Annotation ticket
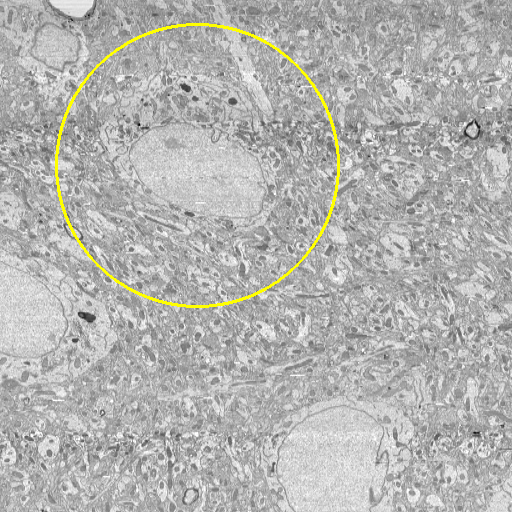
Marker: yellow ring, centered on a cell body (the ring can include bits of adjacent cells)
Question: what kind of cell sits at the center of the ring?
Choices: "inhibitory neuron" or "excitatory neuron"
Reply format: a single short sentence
The ring is centered on an inhibitory neuron.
